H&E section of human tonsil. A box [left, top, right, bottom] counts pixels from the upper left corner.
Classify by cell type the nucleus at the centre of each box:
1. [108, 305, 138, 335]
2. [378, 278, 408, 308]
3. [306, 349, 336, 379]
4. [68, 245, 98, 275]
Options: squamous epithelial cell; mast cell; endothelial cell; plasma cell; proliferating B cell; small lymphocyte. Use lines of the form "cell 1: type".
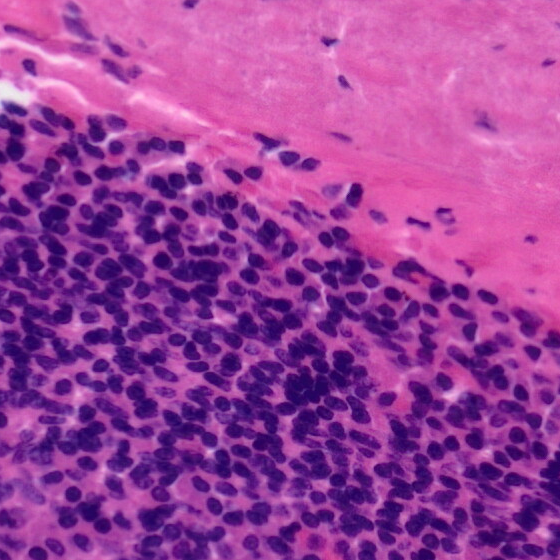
cell 1: small lymphocyte
cell 2: plasma cell
cell 3: small lymphocyte
cell 4: small lymphocyte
